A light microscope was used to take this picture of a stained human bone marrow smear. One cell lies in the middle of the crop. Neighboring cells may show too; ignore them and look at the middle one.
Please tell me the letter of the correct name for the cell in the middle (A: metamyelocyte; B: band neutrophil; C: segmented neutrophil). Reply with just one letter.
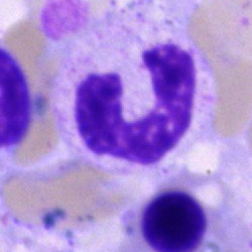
B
